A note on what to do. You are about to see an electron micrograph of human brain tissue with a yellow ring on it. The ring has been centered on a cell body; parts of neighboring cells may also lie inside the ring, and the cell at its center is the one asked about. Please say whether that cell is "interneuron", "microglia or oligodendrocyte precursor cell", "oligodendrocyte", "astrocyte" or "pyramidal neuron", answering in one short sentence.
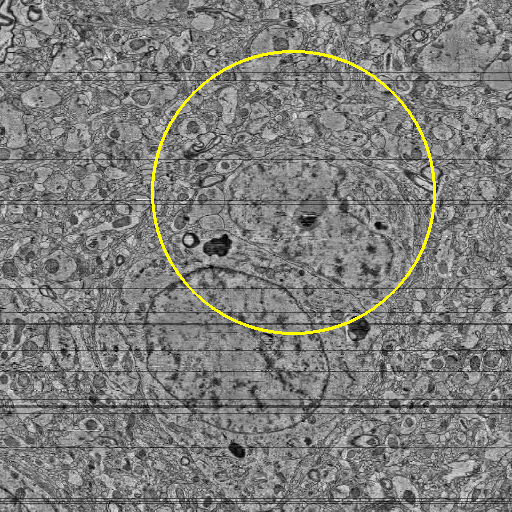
The yellow ring sits on an interneuron.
